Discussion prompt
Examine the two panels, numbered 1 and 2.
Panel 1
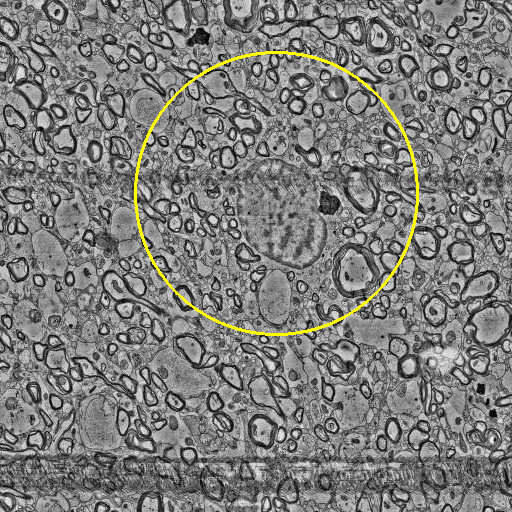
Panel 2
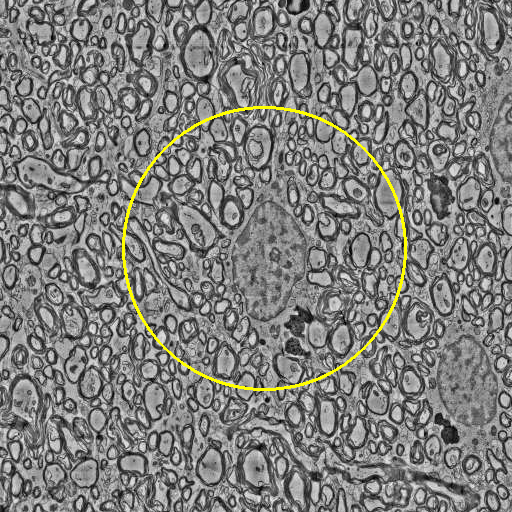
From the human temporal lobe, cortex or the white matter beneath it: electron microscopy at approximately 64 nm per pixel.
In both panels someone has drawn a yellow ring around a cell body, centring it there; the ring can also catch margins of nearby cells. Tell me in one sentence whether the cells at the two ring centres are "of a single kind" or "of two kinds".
Taken together, the two cells centred in the rings of Panels 1 and 2 are of a single kind.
